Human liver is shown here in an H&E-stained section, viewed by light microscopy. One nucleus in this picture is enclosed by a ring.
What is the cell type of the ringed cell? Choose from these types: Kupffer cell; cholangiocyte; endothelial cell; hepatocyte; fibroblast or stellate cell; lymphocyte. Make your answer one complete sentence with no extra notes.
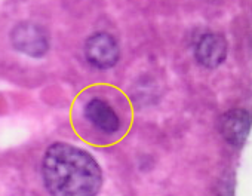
In cellular terms, the ringed cell is a fibroblast or stellate cell.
